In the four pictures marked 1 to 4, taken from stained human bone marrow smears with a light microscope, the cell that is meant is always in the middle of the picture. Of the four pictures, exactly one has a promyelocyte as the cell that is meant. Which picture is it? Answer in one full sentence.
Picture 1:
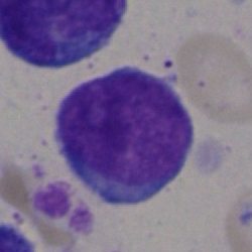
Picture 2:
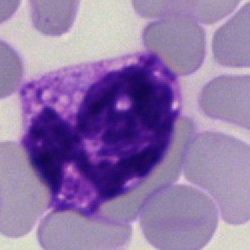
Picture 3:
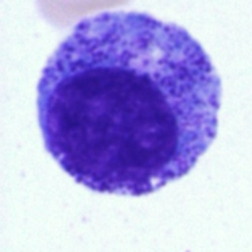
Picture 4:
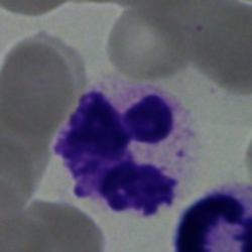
It is picture 3 that shows the promyelocyte.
